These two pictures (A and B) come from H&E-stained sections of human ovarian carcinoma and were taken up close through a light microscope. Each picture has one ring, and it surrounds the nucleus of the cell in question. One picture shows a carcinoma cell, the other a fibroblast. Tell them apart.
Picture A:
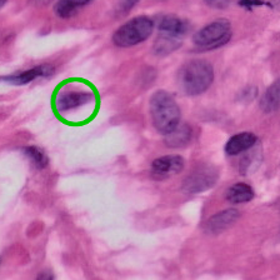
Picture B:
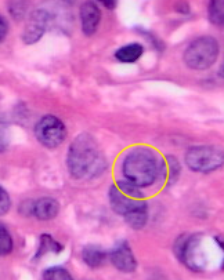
A: fibroblast
B: carcinoma cell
